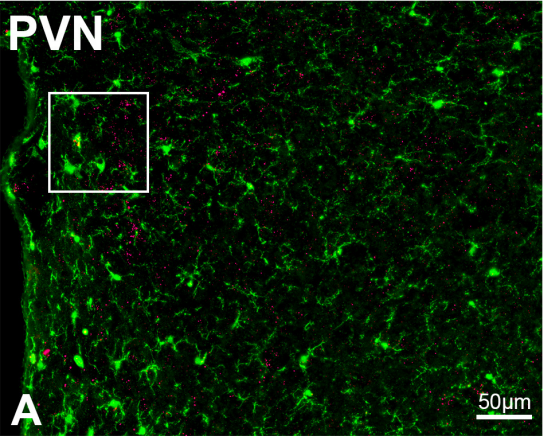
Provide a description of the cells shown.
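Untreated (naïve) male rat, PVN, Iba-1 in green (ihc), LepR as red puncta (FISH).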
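This is brain tissue in which the green cells are microglia, each a small cell body scattered fairly evenly through the field. From every body run several thin, branching processes that spread out in all directions, giving the cells a bushy, ramified look. Small red dots lie scattered between them, mostly apart from the green cells, and at the left the tissue ends at a free edge.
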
